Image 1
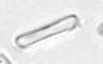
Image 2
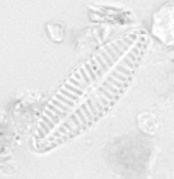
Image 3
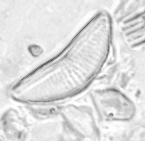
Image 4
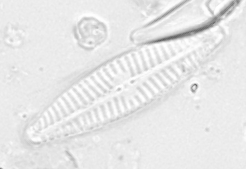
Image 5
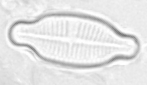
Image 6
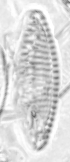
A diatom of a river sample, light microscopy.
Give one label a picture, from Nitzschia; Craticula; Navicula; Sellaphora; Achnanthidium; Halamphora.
1: Sellaphora
2: Navicula
3: Halamphora
4: Navicula
5: Achnanthidium
6: Nitzschia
